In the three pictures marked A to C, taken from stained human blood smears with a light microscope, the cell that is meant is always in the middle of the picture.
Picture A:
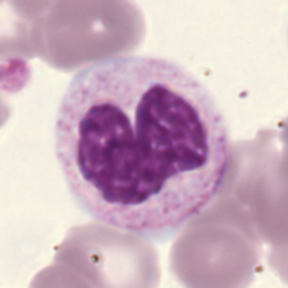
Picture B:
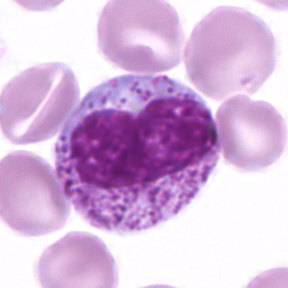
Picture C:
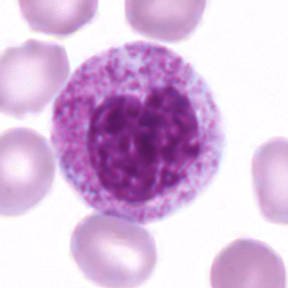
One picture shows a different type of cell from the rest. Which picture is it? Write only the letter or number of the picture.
B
